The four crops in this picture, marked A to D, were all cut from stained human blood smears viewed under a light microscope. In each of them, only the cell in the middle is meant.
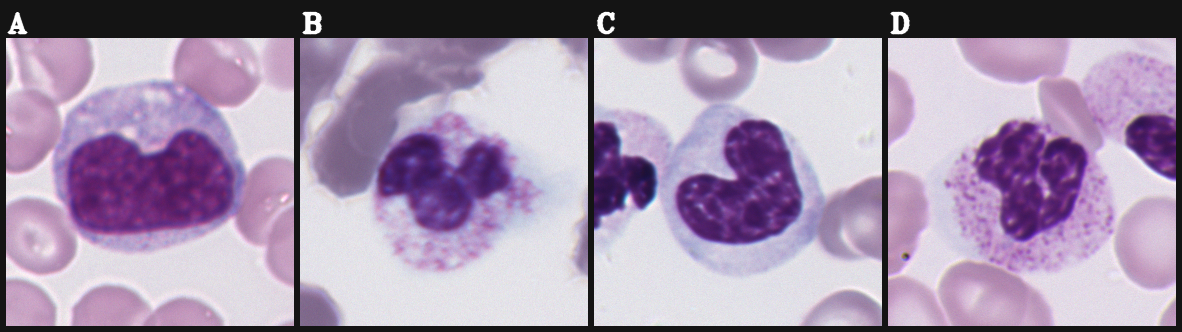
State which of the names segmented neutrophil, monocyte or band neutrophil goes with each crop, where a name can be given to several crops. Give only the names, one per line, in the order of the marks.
monocyte
segmented neutrophil
band neutrophil
segmented neutrophil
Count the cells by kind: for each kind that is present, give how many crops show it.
segmented neutrophil: 2
monocyte: 1
band neutrophil: 1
